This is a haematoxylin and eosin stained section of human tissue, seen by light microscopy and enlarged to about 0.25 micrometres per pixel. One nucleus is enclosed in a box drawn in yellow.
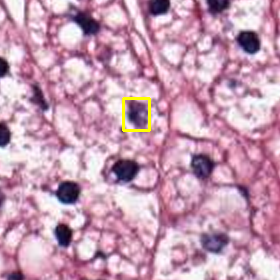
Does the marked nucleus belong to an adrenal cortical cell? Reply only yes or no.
yes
